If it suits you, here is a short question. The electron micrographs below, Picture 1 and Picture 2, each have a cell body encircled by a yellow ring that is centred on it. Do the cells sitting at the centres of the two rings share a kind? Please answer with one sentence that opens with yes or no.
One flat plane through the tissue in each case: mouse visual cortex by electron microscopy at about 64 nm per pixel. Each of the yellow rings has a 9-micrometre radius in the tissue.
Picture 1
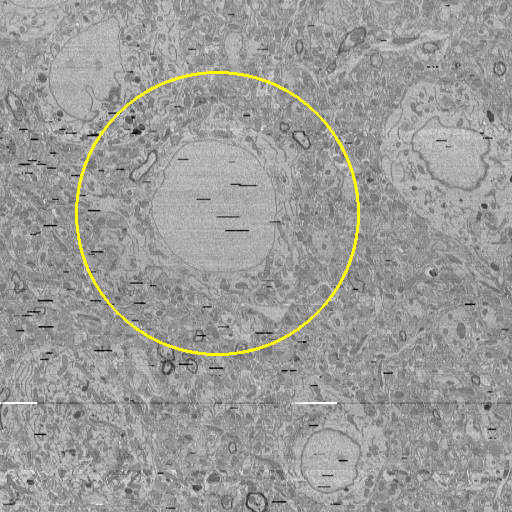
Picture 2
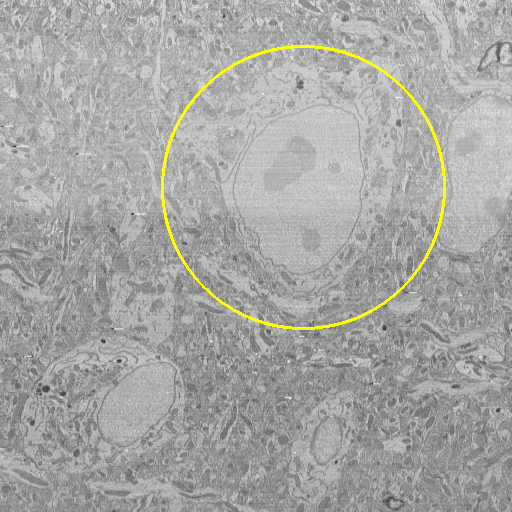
Yes, the two cells sitting at the ring centres share a single kind.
